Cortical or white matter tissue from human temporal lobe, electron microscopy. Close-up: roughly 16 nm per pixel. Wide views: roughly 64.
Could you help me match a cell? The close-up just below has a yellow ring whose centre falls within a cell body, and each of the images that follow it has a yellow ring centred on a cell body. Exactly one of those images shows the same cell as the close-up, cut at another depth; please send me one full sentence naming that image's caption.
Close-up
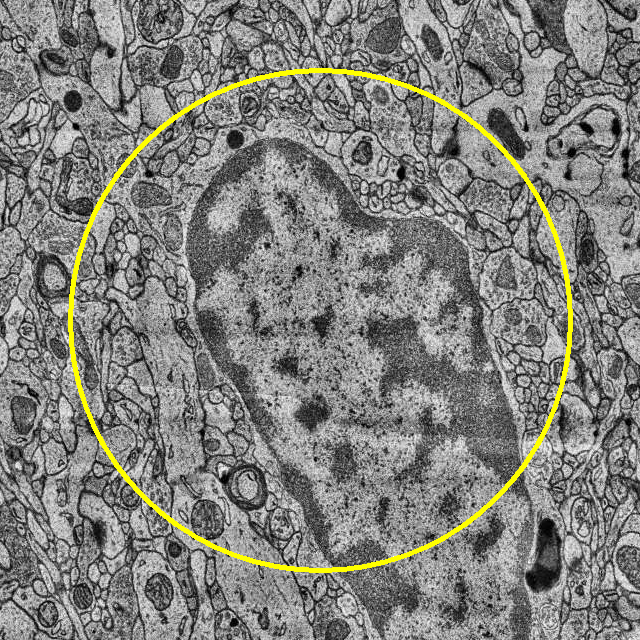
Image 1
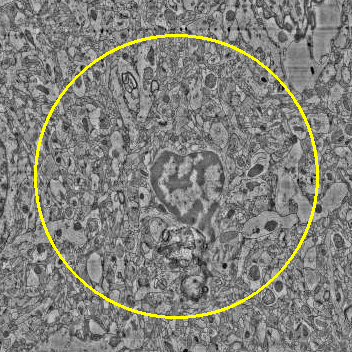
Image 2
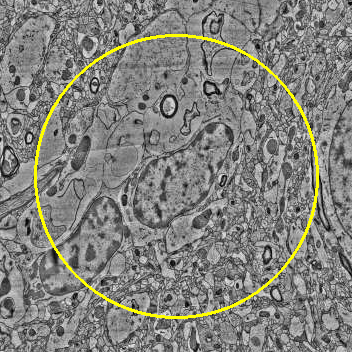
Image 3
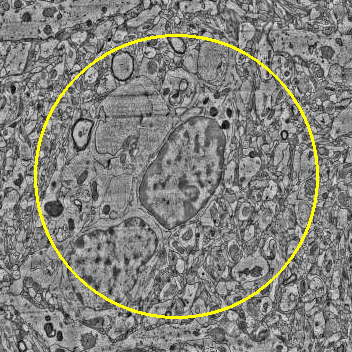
The close-up was taken of the cell circled in Image 1.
